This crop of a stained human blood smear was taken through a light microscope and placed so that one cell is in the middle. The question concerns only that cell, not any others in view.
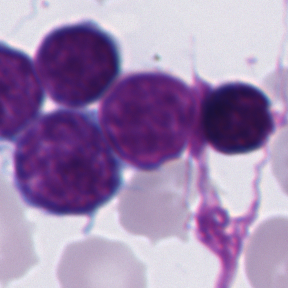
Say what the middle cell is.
myeloblast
